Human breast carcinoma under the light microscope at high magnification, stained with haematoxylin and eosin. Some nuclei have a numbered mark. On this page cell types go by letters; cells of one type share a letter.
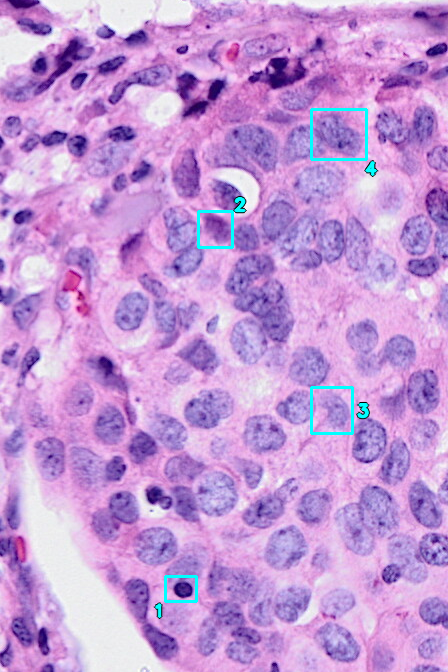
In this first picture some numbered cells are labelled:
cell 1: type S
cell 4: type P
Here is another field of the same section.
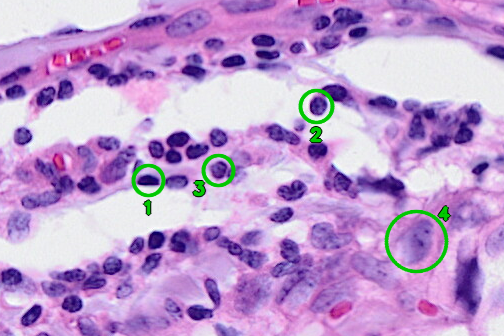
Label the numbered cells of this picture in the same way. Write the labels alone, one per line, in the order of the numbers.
type S
type S
type S
type P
